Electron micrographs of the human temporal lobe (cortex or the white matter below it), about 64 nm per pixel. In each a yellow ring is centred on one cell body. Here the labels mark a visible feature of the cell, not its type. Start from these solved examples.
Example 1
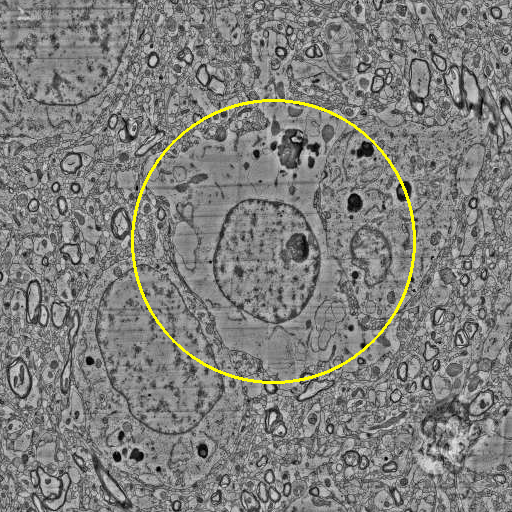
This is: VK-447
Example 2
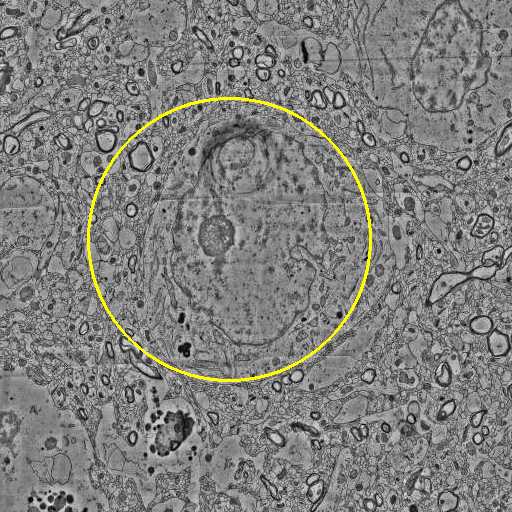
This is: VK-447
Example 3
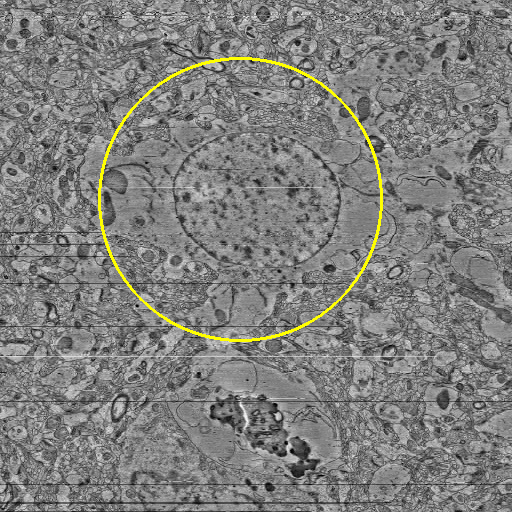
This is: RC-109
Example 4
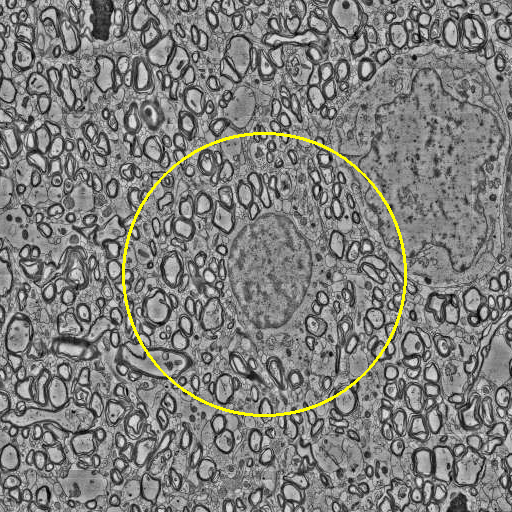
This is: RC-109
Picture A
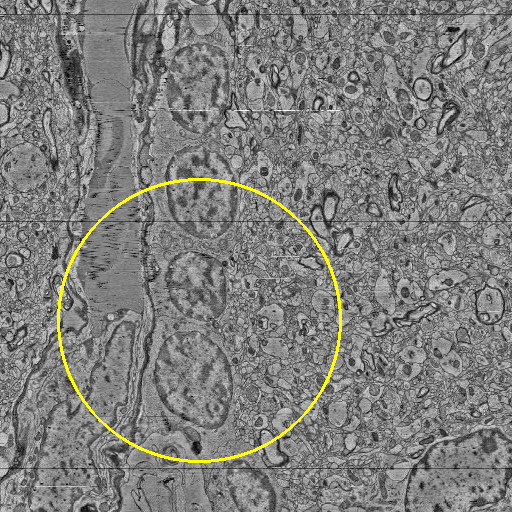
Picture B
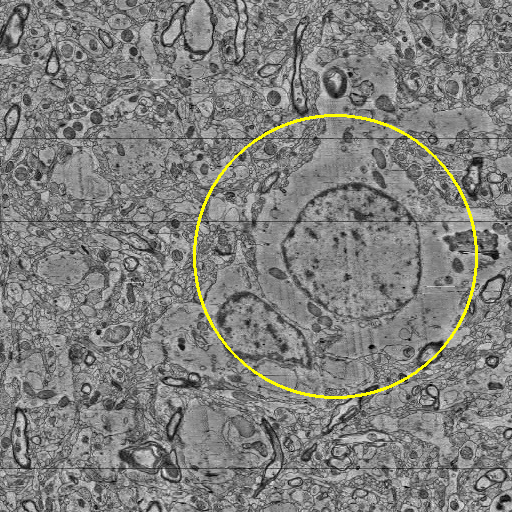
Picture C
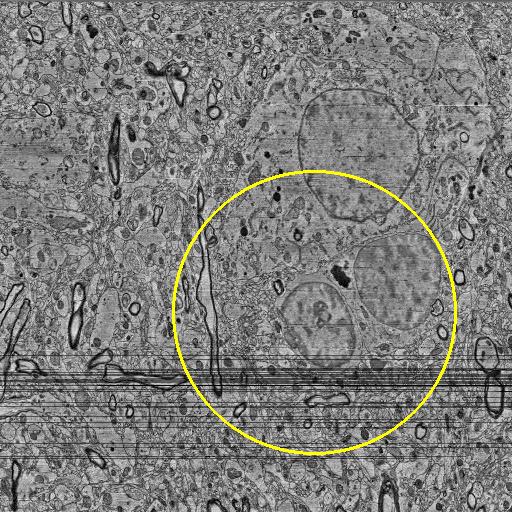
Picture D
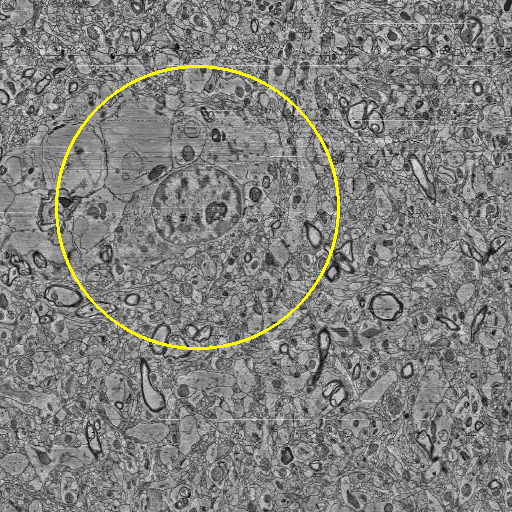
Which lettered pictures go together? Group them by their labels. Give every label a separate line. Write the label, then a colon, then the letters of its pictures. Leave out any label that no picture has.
VK-447: C, D
RC-109: A, B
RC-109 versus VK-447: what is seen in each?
RC-109, no nucleolus seen; VK-447, nucleolus seen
